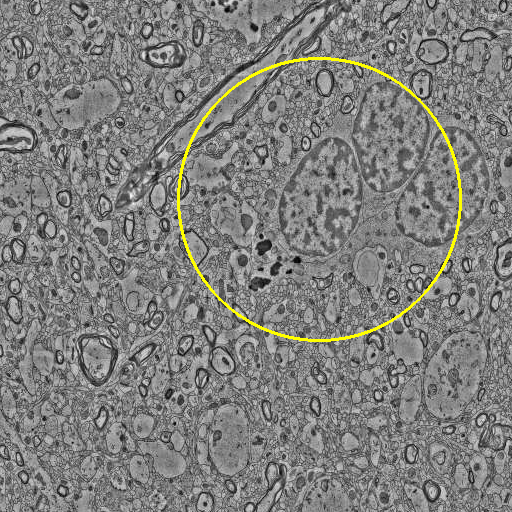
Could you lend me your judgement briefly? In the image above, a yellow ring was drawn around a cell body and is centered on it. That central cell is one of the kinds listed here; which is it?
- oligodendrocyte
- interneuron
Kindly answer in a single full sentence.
Going by the list, an oligodendrocyte is the kind at the ring's center in the picture.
